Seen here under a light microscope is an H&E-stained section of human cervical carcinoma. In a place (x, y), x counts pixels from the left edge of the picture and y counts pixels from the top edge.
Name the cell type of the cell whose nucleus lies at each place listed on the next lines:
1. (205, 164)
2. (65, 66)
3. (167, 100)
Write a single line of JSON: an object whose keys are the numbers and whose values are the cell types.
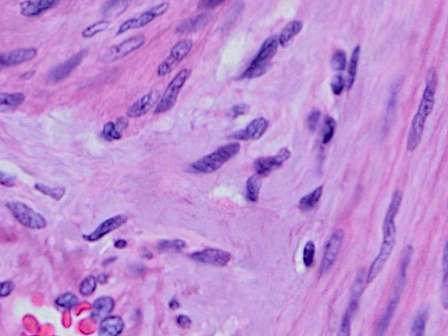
{"1": "fibroblast", "2": "smooth muscle cell", "3": "smooth muscle cell"}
